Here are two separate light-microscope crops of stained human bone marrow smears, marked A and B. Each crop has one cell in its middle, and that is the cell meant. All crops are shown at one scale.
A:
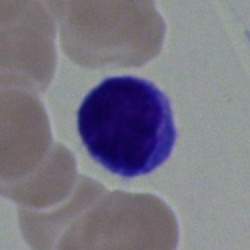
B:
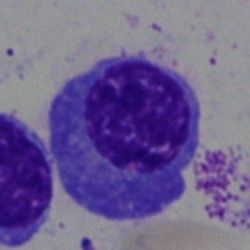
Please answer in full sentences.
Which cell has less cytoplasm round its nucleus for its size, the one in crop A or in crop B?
It is the cell in crop A that is filled more by its nucleus.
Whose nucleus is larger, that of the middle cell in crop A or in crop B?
The nucleus in crop B is larger, with about 1.5 times the area of the one in crop A.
